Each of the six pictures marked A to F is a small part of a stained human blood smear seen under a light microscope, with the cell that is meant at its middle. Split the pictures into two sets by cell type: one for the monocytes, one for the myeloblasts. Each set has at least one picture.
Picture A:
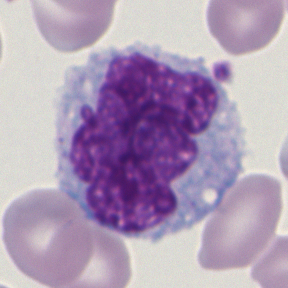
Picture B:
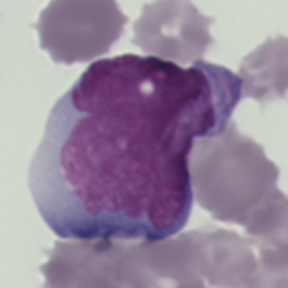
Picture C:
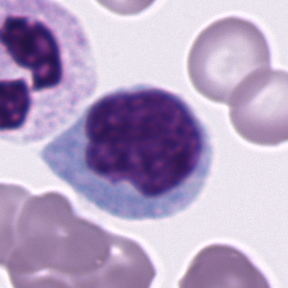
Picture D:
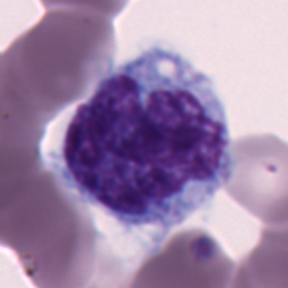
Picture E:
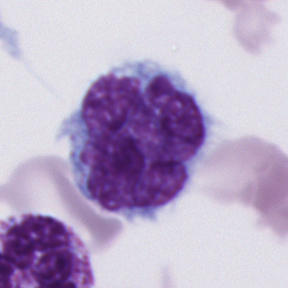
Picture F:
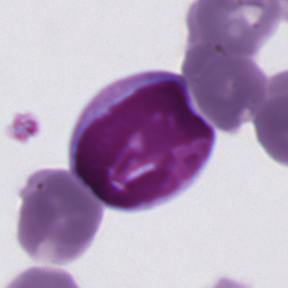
A: monocyte
B: myeloblast
C: monocyte
D: monocyte
E: monocyte
F: myeloblast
